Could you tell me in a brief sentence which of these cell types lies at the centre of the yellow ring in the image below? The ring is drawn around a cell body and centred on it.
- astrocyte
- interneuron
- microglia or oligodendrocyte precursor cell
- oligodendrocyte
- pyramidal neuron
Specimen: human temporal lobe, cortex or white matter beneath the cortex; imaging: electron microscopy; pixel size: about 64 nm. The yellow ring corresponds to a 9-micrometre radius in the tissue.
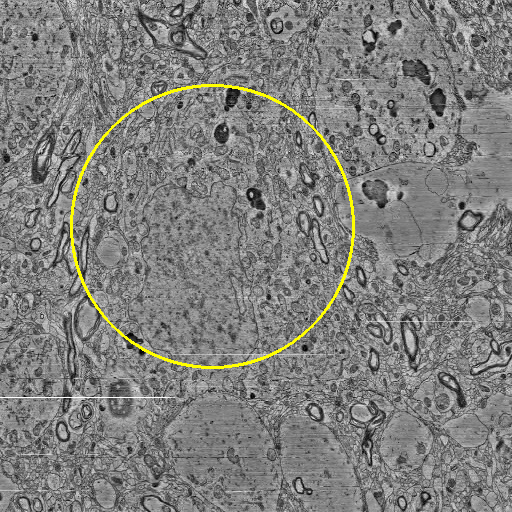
The cell centred in the ring is an interneuron.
